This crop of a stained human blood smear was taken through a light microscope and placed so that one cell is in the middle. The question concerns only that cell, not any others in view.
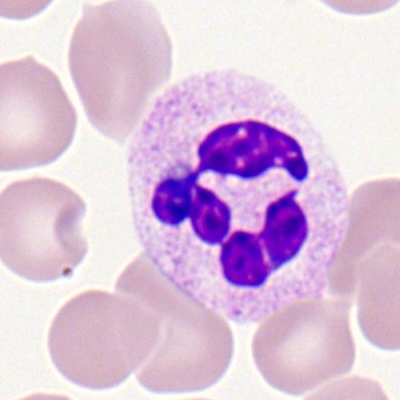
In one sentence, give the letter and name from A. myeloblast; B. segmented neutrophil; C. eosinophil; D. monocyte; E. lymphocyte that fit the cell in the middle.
The cell in the middle is a segmented neutrophil, and so option B is correct.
